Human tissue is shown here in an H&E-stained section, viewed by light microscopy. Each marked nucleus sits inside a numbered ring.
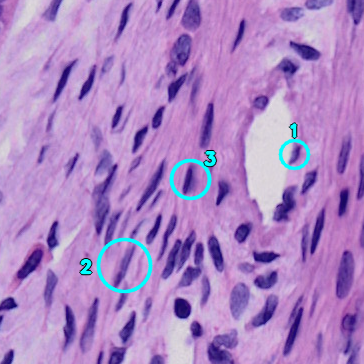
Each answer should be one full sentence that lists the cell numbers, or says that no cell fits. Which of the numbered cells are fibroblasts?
The identity of cells 2 and 3: they are fibroblasts.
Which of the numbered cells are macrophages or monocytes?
From first to last, the numbered cells include no macrophages or monocytes.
